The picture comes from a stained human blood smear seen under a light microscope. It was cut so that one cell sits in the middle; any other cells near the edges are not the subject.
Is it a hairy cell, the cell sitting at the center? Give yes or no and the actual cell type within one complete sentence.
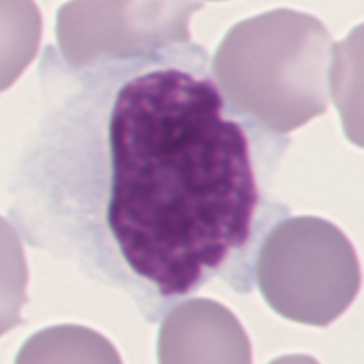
Yes, that middle cell in the crop is a hairy cell.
